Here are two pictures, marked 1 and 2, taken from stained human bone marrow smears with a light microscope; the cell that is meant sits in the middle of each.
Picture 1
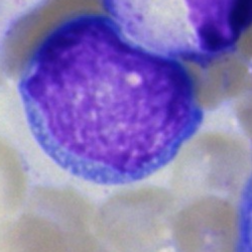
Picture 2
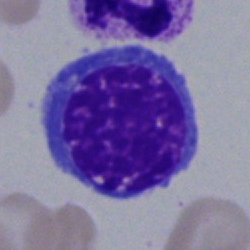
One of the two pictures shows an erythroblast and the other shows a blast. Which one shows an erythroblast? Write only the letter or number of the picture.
2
